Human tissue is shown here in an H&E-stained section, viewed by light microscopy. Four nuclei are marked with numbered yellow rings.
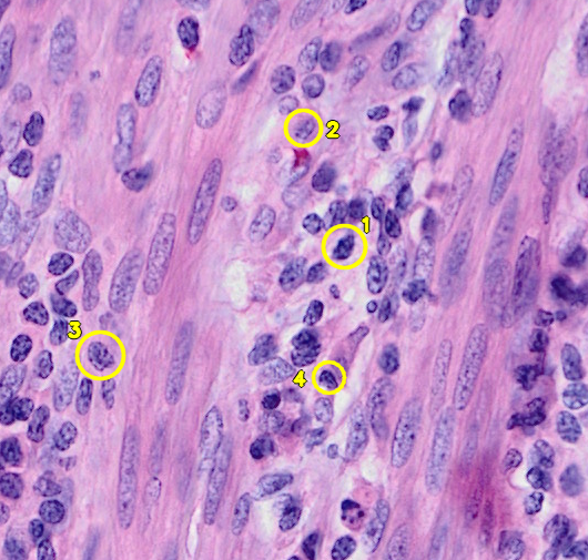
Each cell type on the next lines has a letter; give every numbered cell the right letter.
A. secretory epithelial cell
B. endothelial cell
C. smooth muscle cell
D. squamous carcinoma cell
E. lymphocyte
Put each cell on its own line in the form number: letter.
1: E
2: B
3: E
4: E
